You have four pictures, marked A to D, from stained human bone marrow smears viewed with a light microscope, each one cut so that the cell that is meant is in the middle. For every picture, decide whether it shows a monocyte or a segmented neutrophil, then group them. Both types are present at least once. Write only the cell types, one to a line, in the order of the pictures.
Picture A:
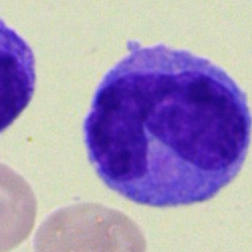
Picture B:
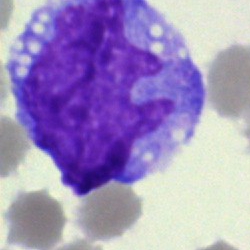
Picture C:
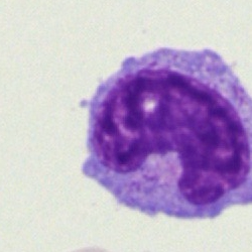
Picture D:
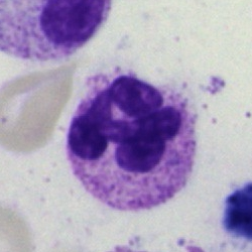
monocyte
monocyte
monocyte
segmented neutrophil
